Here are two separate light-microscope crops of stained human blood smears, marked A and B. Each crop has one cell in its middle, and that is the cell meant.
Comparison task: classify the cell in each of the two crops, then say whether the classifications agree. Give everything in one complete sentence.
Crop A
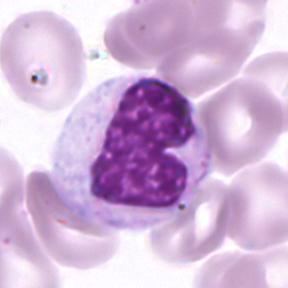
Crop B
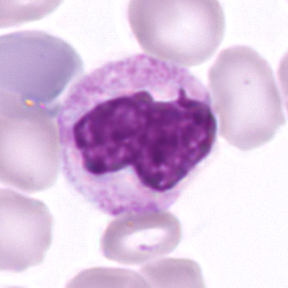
Yes, both crops show band neutrophils, and the two match.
